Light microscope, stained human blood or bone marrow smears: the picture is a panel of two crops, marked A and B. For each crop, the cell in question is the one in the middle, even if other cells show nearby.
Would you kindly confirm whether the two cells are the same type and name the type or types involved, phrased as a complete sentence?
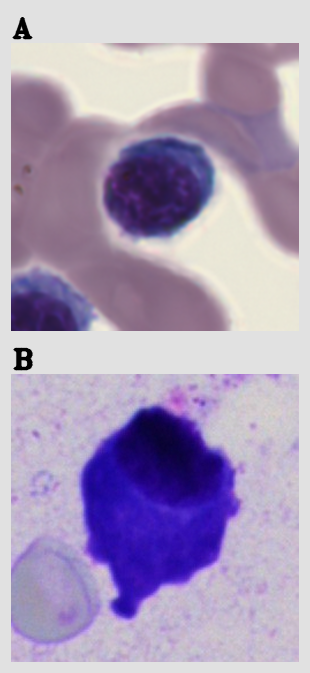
Yes, both crops, not just one, show plasma cells.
